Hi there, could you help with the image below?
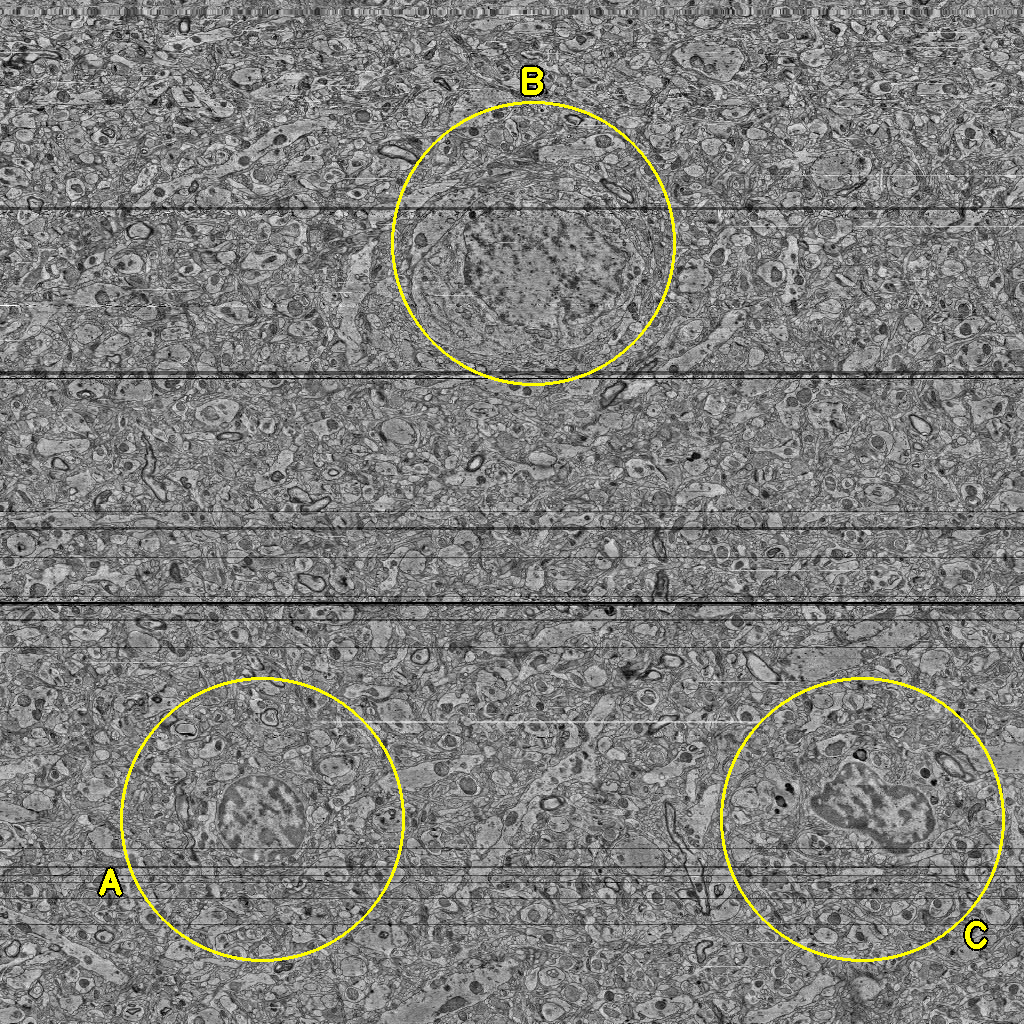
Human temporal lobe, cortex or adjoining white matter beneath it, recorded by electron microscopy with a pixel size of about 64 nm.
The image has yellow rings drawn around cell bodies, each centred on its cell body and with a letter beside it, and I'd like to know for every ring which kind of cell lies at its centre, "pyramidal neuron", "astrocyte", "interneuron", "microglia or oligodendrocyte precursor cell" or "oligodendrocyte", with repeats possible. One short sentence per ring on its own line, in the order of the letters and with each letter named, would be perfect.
Ring A is placed around an oligodendrocyte.
Ring B is placed around an interneuron.
Ring C is placed around a microglial cell or oligodendrocyte precursor cell.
